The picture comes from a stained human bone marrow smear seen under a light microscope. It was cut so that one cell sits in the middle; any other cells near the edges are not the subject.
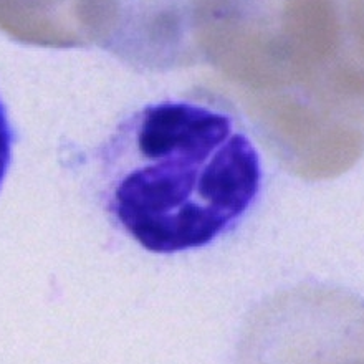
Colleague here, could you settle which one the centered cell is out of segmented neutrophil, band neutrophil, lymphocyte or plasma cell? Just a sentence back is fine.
This crop's central cell is a segmented neutrophil.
